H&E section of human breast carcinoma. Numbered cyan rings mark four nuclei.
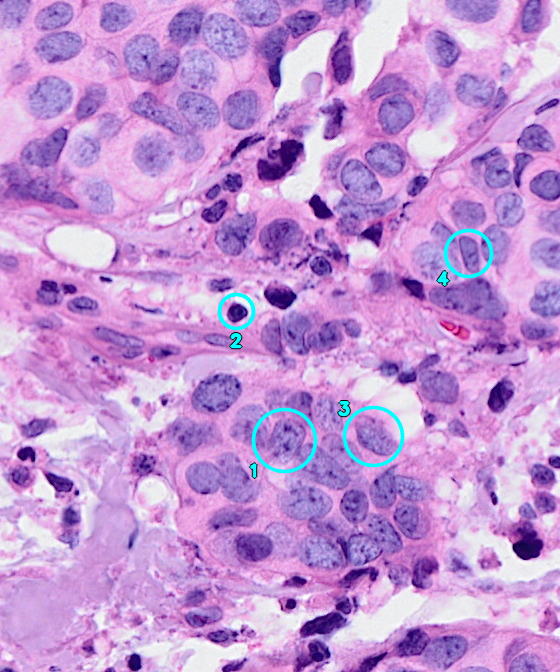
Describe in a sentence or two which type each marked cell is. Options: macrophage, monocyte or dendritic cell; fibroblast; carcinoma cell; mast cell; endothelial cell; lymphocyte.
Cells 1, 3 and 4 are carcinoma cells. Cell 2 is a lymphocyte.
